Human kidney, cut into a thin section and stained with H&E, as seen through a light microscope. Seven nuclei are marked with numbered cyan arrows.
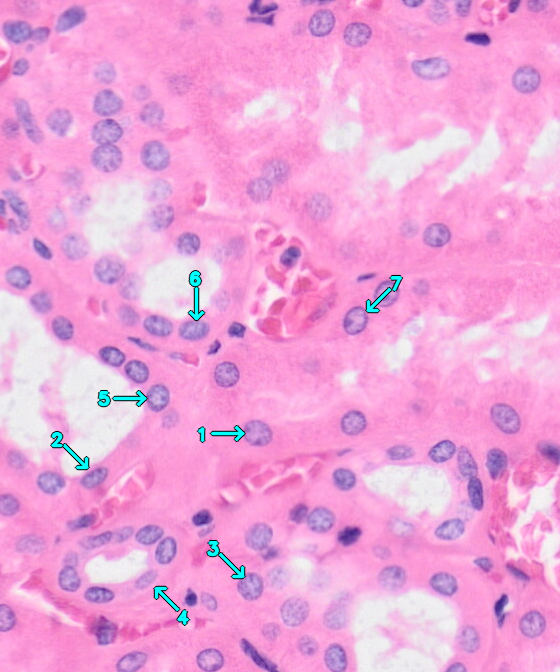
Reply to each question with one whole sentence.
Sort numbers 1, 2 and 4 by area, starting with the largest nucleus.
The nuclei rank 1, 2, 4, from largest to smallest.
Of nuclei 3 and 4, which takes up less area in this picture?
Number 4 is smaller, since number 3 takes up about 2 times as much area.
